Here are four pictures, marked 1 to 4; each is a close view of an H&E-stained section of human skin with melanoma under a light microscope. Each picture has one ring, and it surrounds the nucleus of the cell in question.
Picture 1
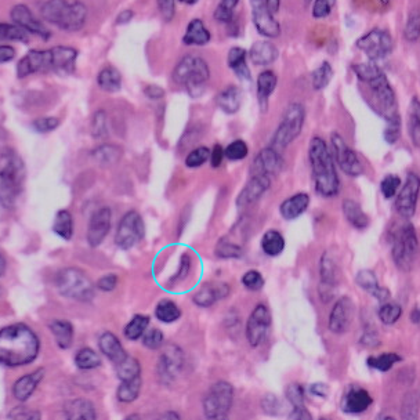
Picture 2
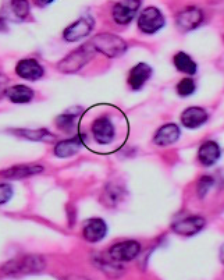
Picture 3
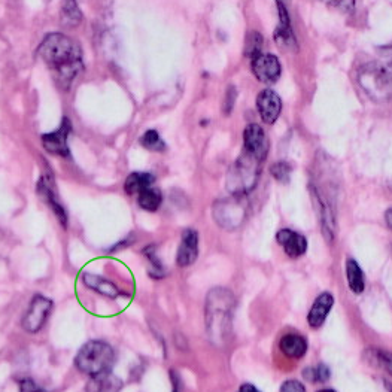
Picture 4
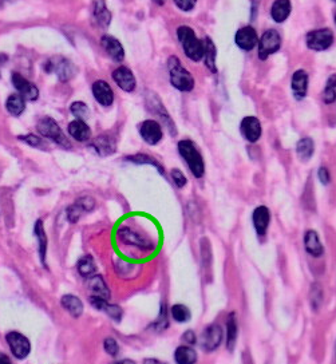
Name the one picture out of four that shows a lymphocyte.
2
